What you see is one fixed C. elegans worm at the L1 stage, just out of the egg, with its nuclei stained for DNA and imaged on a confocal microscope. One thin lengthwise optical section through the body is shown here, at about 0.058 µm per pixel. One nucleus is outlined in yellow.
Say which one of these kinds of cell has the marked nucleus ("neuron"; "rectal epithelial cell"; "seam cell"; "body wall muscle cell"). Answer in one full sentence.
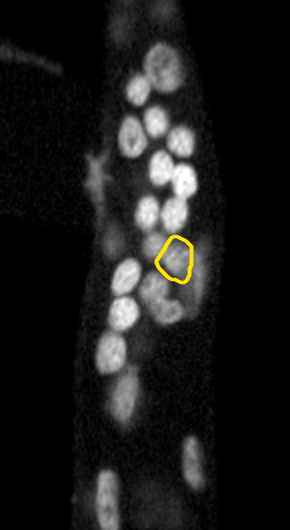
What is marked is the nucleus of a rectal epithelial cell.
